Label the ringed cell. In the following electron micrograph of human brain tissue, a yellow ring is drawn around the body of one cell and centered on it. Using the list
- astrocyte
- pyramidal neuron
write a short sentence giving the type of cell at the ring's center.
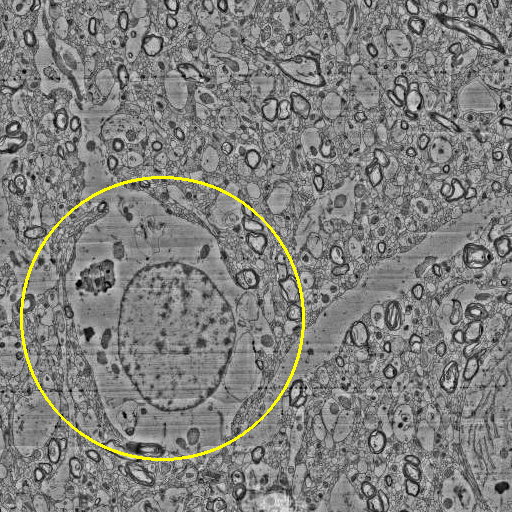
The cell body at the ring's center is that of an astrocyte.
